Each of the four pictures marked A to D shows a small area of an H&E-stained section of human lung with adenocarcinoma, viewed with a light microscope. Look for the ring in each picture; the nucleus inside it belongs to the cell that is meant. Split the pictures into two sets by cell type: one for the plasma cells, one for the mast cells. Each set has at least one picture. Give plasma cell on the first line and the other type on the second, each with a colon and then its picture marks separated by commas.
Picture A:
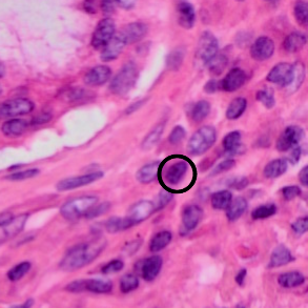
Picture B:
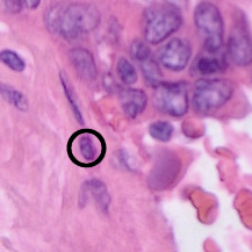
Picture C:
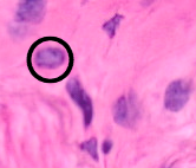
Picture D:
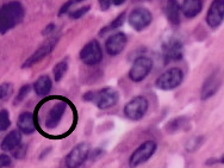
plasma cell: A, D
mast cell: B, C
